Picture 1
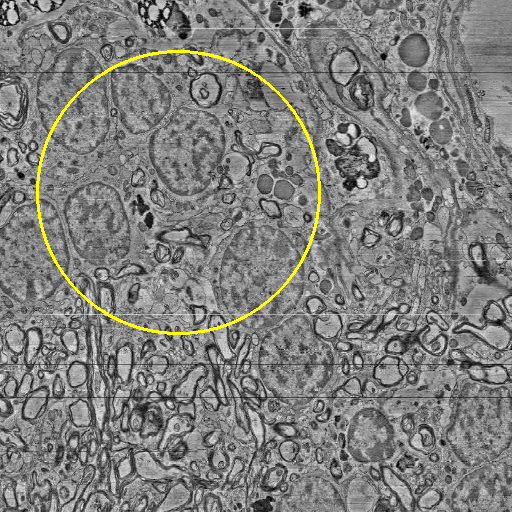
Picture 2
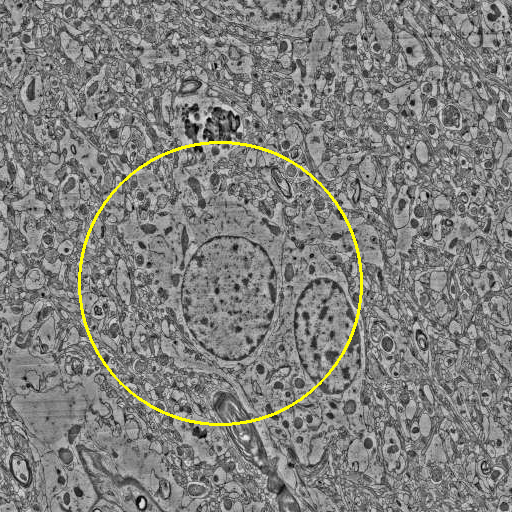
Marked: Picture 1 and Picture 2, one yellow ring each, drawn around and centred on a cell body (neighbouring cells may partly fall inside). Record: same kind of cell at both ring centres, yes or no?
no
